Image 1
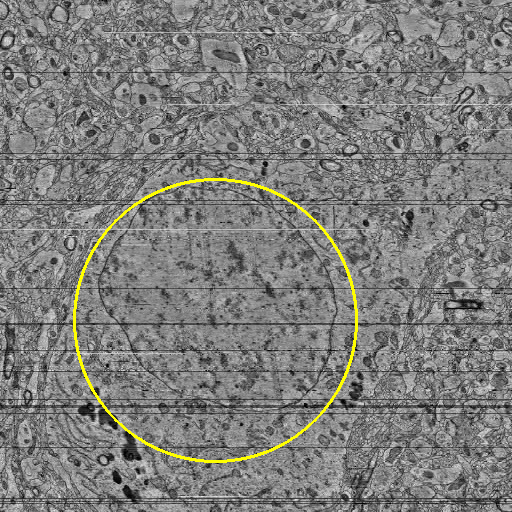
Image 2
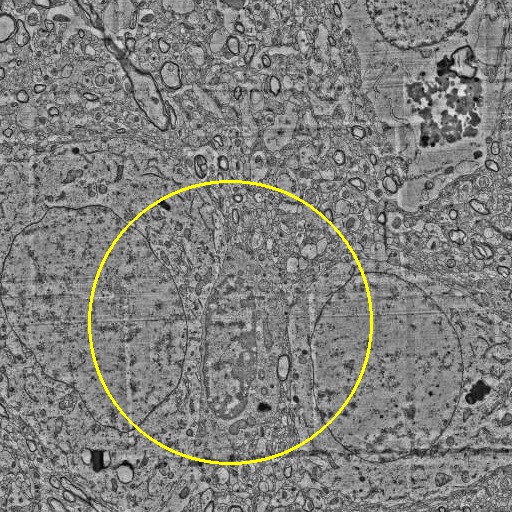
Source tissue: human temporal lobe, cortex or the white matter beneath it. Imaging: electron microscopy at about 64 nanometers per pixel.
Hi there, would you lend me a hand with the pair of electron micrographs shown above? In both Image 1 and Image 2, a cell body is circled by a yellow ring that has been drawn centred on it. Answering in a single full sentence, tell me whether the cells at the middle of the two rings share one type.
No, the ringed cells in Image 1 and Image 2 belong to two types.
